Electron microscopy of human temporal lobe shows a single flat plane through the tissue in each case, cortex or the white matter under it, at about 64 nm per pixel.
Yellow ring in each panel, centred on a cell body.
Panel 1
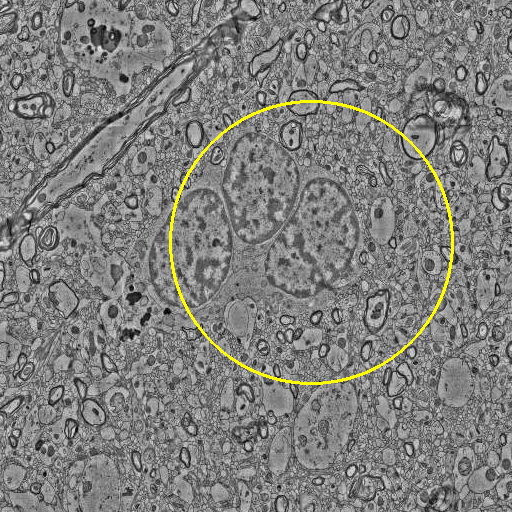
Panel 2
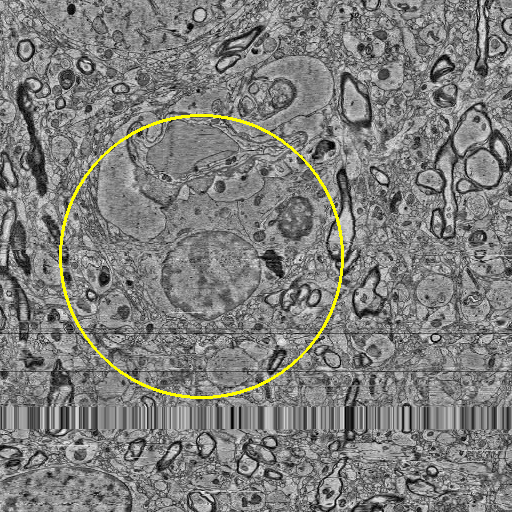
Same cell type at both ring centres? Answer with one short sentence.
Yes, both cells are of the same type.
